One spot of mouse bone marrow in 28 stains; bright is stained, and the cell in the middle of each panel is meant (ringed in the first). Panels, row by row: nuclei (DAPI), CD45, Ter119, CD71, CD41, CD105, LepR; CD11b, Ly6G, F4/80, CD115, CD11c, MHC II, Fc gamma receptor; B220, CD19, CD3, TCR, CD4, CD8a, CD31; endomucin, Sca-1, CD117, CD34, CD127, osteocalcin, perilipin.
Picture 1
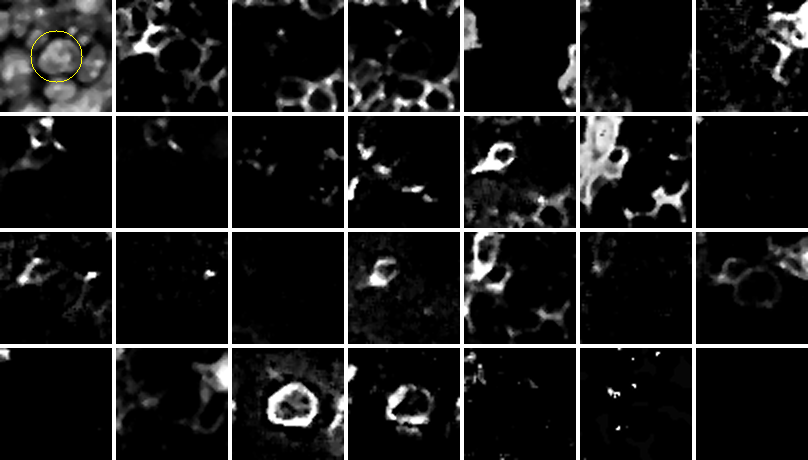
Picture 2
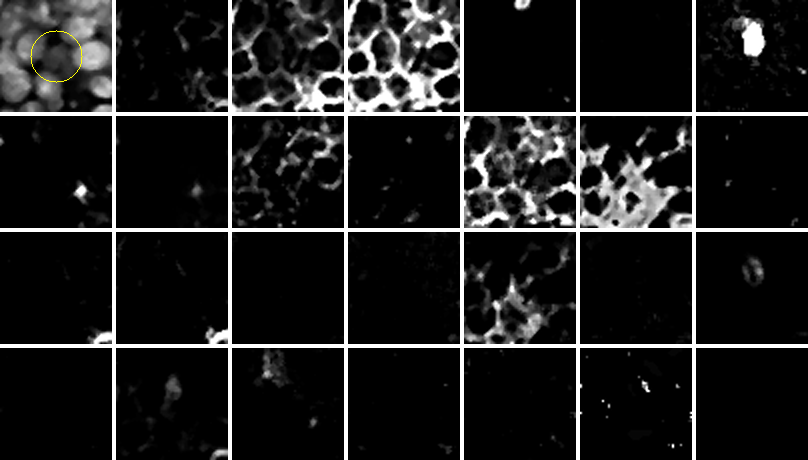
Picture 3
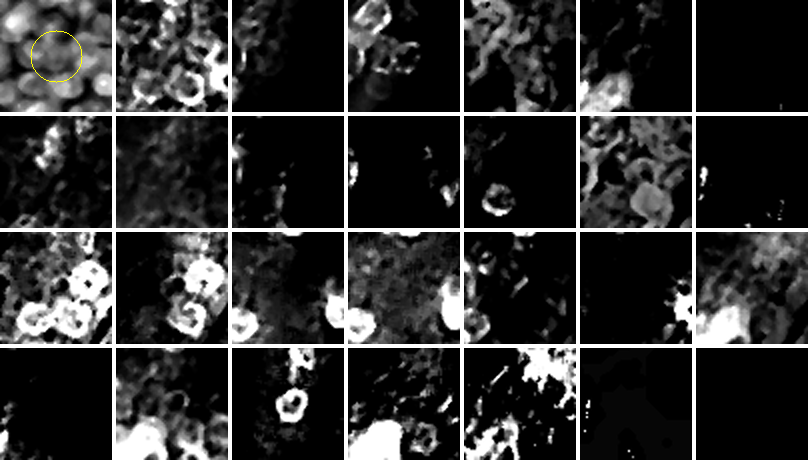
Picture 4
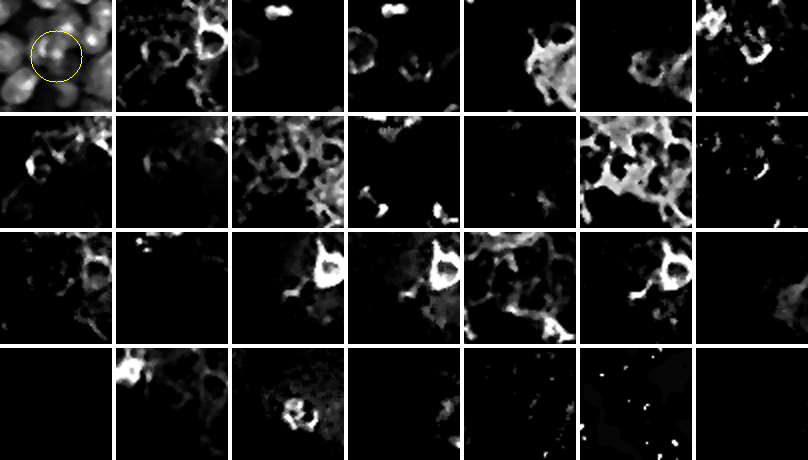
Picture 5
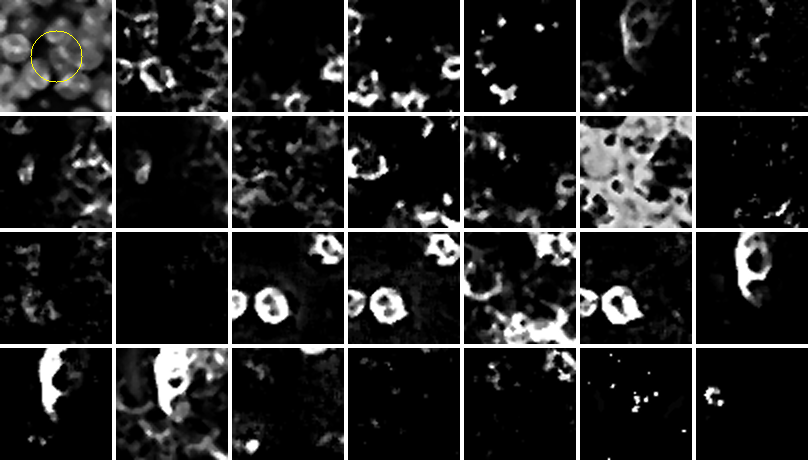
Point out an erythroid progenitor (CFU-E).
That is picture 3.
